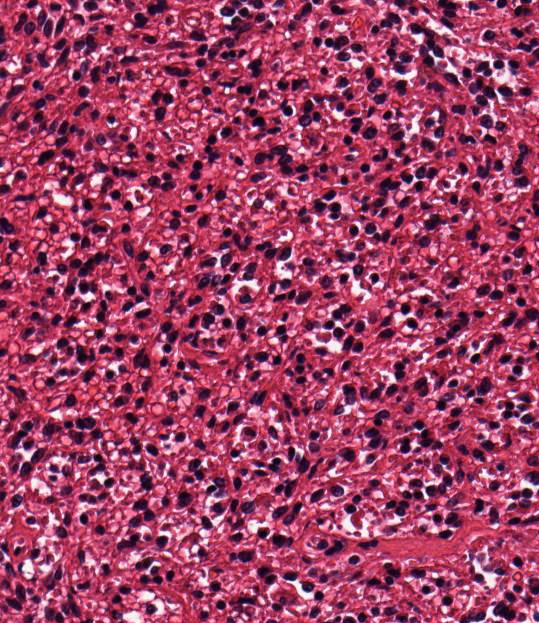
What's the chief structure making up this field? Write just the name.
red pulp of the spleen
